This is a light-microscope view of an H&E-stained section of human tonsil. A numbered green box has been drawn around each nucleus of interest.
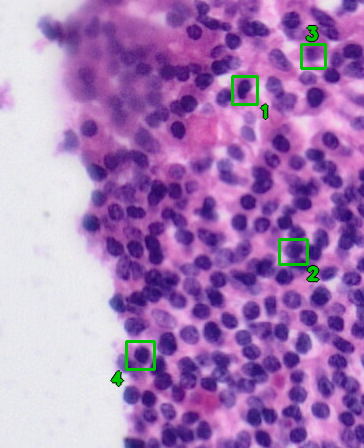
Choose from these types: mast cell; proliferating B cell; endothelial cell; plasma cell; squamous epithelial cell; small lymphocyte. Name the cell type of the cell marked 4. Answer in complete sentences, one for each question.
Number 4 among the marked cells is a small lymphocyte.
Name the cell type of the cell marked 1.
Of the numbered cells, the one labelled 1 is a plasma cell.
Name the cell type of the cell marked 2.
Classified as a small lymphocyte is the cell with the number 2.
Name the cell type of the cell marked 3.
The marked cell bearing number 3 is a plasma cell.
